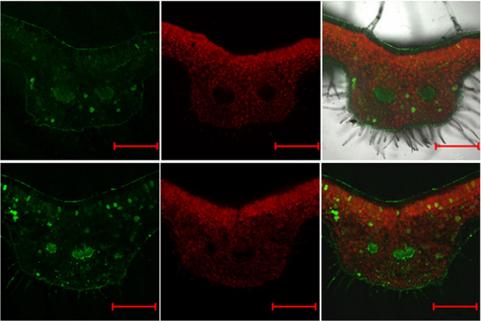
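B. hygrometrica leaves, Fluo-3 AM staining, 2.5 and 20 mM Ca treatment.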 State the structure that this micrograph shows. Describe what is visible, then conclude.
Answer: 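The section bulges downward into a thick ridge. Round bundle-like structures sit within the thickened region. That points to this answer: vein parts.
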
